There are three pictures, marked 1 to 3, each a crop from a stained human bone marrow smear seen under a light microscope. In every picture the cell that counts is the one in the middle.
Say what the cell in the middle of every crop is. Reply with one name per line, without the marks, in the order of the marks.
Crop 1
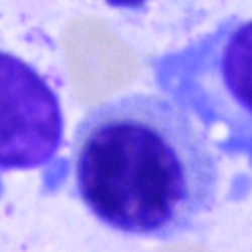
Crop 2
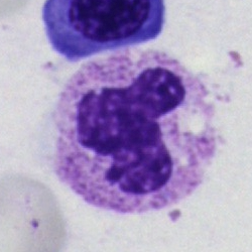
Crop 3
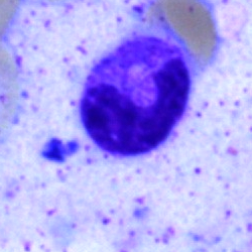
erythroblast
segmented neutrophil
band neutrophil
